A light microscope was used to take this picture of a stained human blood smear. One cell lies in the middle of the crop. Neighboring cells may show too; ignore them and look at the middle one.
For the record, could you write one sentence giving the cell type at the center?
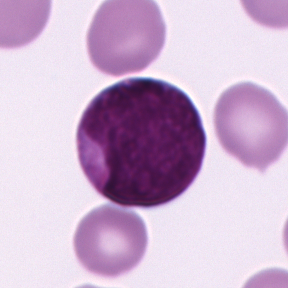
The central cell in this smear crop is a myeloblast.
